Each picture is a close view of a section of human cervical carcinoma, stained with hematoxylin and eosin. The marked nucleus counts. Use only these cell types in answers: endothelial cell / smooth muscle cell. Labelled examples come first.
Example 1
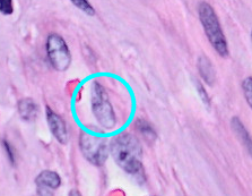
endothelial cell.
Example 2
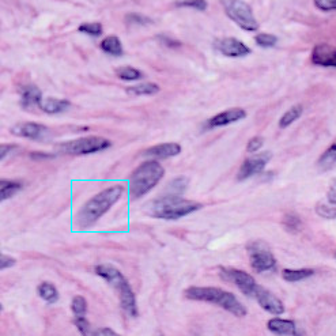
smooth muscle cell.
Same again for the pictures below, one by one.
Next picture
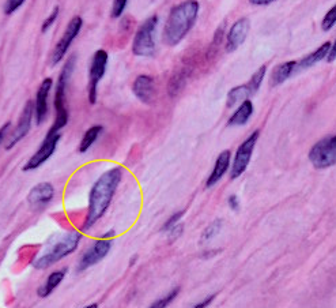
endothelial cell.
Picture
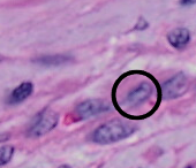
endothelial cell.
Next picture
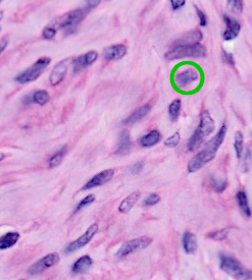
smooth muscle cell.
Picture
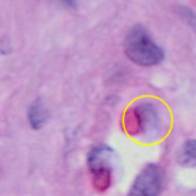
endothelial cell.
